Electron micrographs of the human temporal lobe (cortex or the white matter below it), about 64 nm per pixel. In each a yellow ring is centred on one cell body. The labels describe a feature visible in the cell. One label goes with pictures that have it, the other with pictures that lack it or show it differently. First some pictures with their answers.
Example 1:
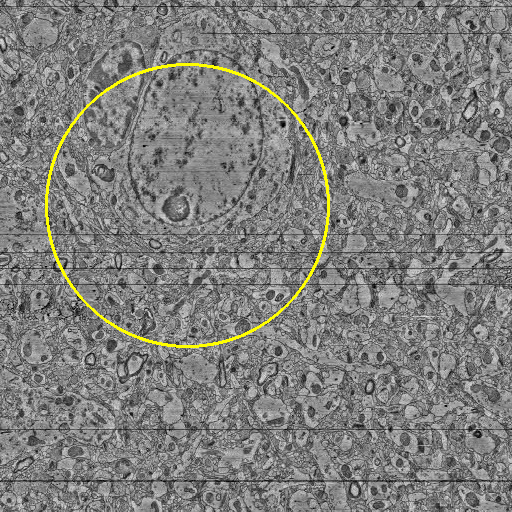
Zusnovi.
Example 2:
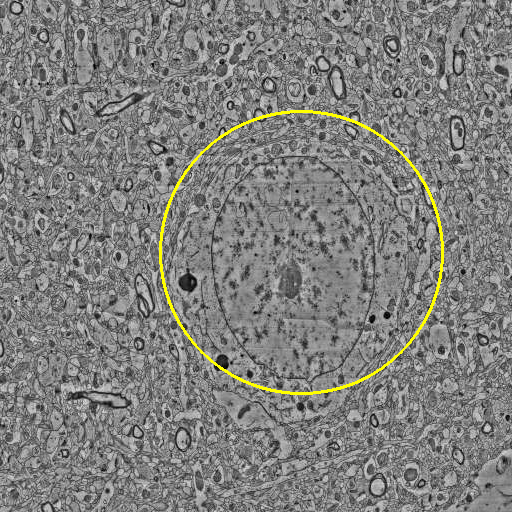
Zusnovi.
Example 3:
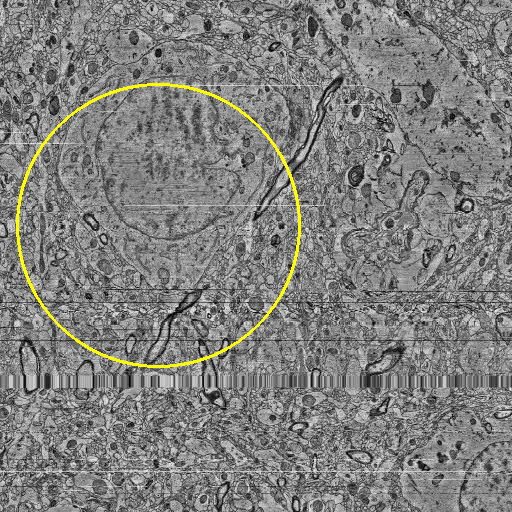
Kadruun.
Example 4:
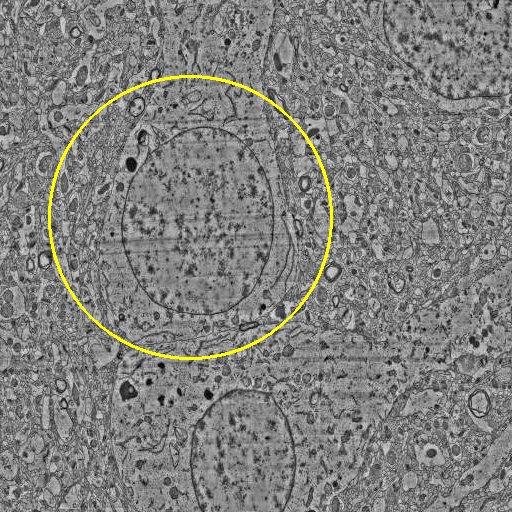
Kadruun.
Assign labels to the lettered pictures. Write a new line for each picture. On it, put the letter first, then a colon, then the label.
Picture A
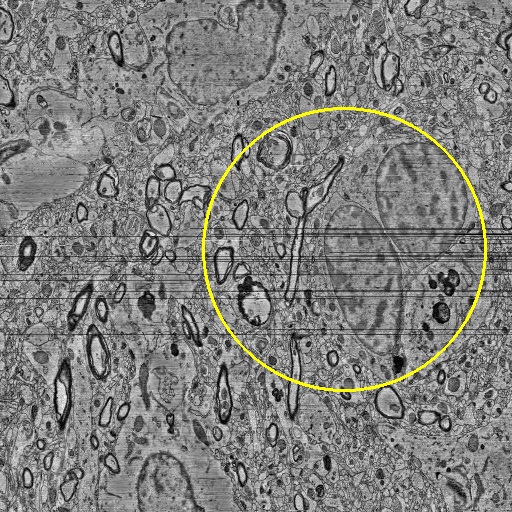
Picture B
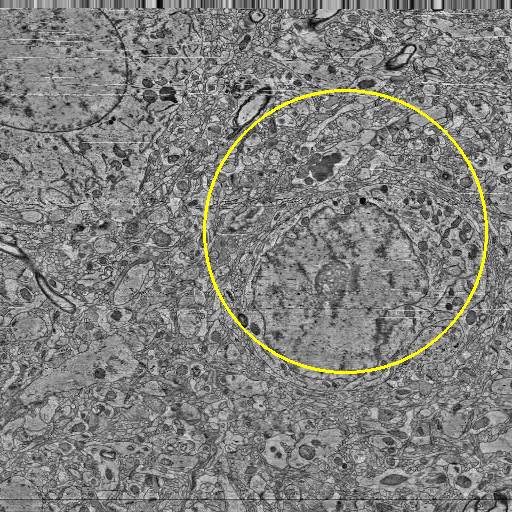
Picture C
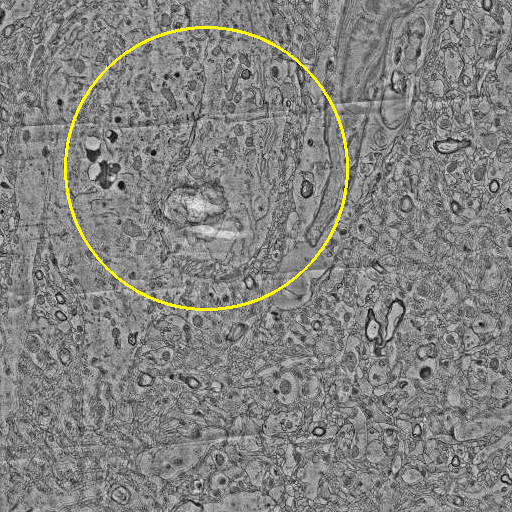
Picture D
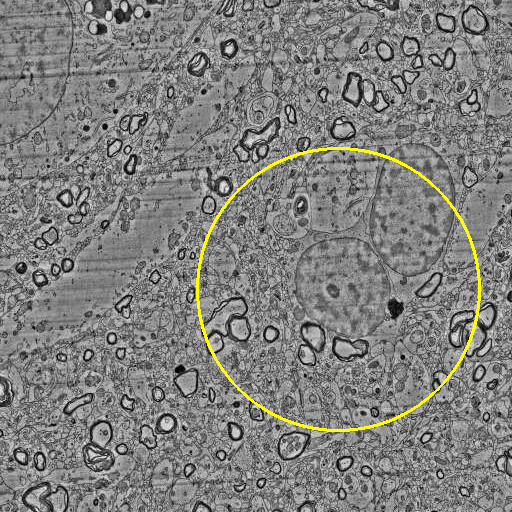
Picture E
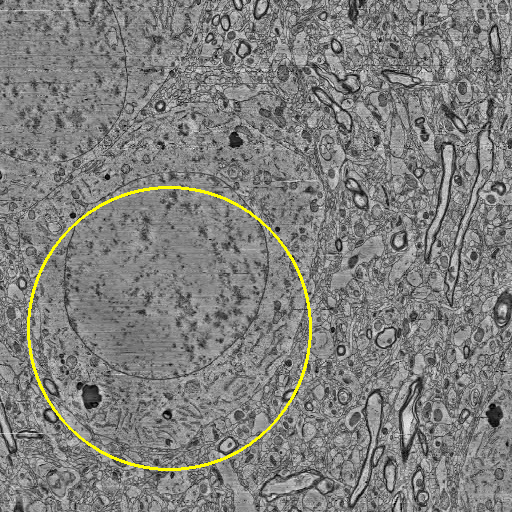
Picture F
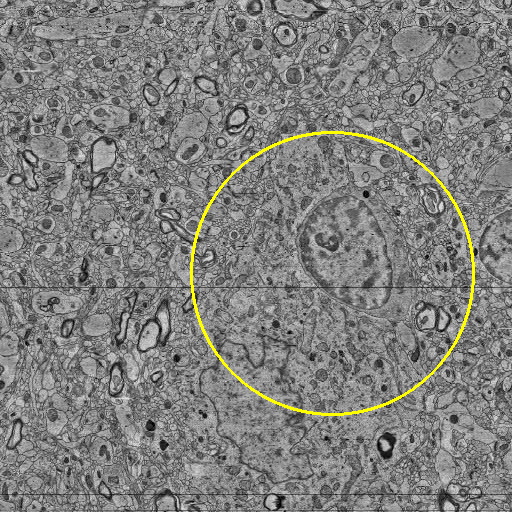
A: Kadruun.
B: Zusnovi.
C: Kadruun.
D: Zusnovi.
E: Kadruun.
F: Zusnovi.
